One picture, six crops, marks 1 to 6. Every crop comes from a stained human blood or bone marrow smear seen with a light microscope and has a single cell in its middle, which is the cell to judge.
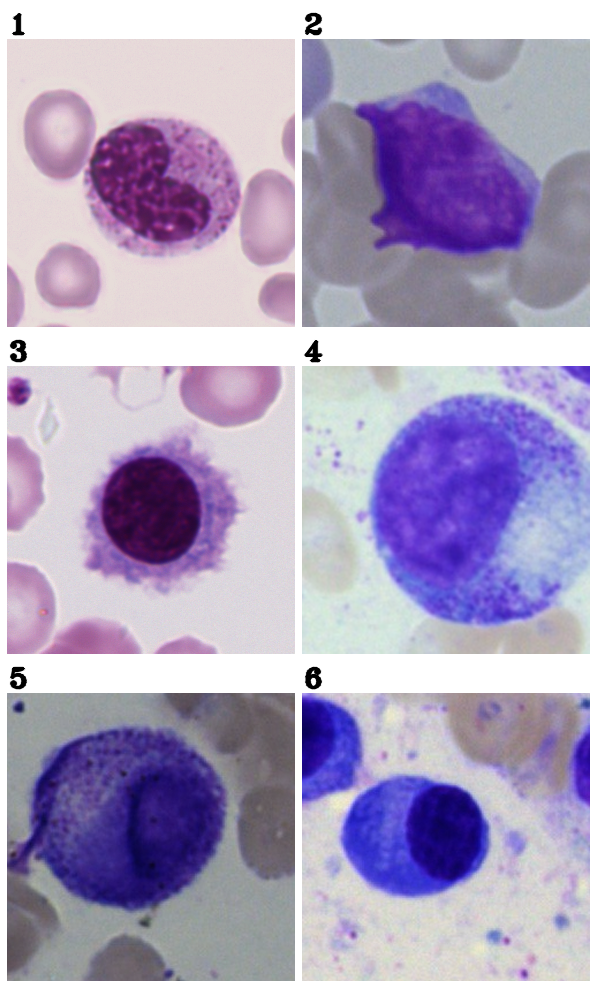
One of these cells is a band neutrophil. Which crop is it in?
1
